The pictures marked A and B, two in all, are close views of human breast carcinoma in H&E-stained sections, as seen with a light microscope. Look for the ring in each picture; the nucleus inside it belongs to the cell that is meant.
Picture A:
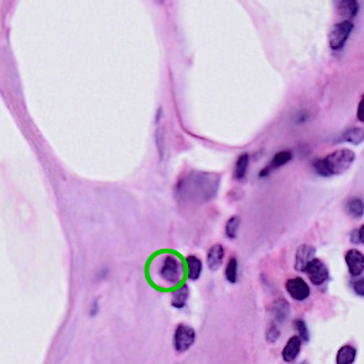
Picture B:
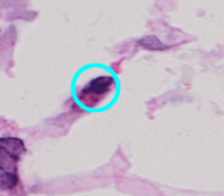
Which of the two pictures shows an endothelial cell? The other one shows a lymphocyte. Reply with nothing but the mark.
B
